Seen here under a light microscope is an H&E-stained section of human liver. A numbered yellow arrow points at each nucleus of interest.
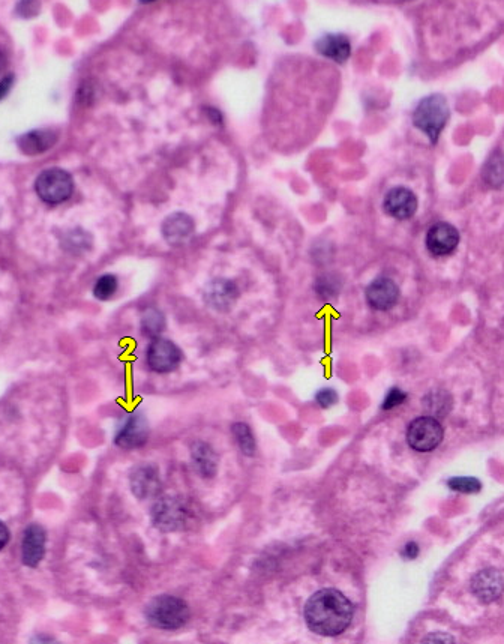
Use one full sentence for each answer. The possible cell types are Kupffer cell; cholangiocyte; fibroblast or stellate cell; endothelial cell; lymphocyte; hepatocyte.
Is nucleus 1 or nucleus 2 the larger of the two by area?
It is nucleus 2, which covers about 1.5 times the area of nucleus 1.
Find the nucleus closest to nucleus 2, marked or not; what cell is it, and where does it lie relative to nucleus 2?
The nearest nucleus is that of a hepatocyte and lies below nucleus 2.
